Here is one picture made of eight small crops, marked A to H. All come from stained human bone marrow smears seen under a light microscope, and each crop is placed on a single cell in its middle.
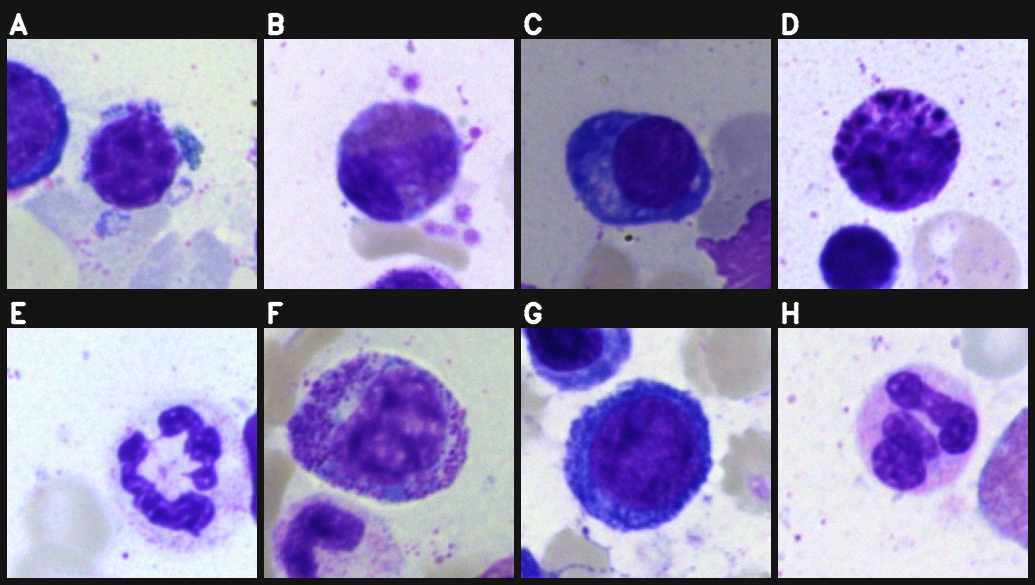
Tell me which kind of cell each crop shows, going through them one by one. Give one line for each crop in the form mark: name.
A: lymphocyte
B: eosinophil
C: plasma cell
D: basophil
E: segmented neutrophil
F: myelocyte
G: proerythroblast
H: segmented neutrophil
